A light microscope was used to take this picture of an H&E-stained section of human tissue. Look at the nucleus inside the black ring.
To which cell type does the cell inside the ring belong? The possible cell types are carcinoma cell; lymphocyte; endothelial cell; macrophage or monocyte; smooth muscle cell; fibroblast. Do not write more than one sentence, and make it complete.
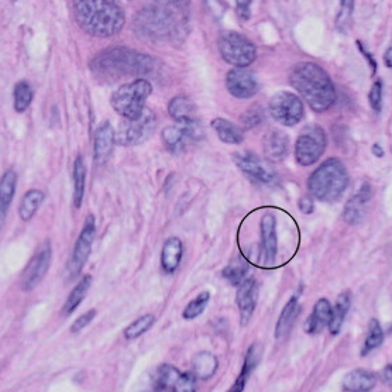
As to its cell type, the cell inside the ring is a fibroblast.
